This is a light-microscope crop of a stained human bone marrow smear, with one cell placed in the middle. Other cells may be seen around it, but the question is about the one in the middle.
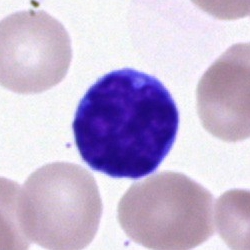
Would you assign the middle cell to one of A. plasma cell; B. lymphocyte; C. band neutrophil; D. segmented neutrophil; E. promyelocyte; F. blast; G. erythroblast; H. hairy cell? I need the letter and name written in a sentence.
Of the options given, B is correct, the central cell being a lymphocyte.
